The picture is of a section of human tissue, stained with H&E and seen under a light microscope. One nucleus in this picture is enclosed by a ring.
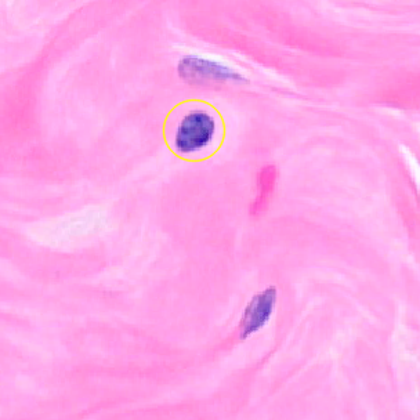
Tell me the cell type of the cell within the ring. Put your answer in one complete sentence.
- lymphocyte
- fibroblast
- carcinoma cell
In this section of tissue, the cell within the ring is a lymphocyte.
